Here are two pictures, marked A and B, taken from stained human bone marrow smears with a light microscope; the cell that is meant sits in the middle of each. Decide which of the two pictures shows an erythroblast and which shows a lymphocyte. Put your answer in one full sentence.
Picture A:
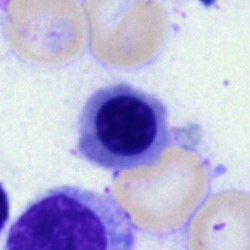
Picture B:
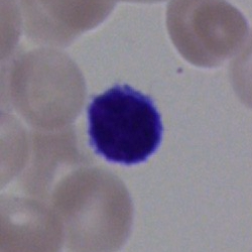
Picture A shows an erythroblast and picture B shows a lymphocyte.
